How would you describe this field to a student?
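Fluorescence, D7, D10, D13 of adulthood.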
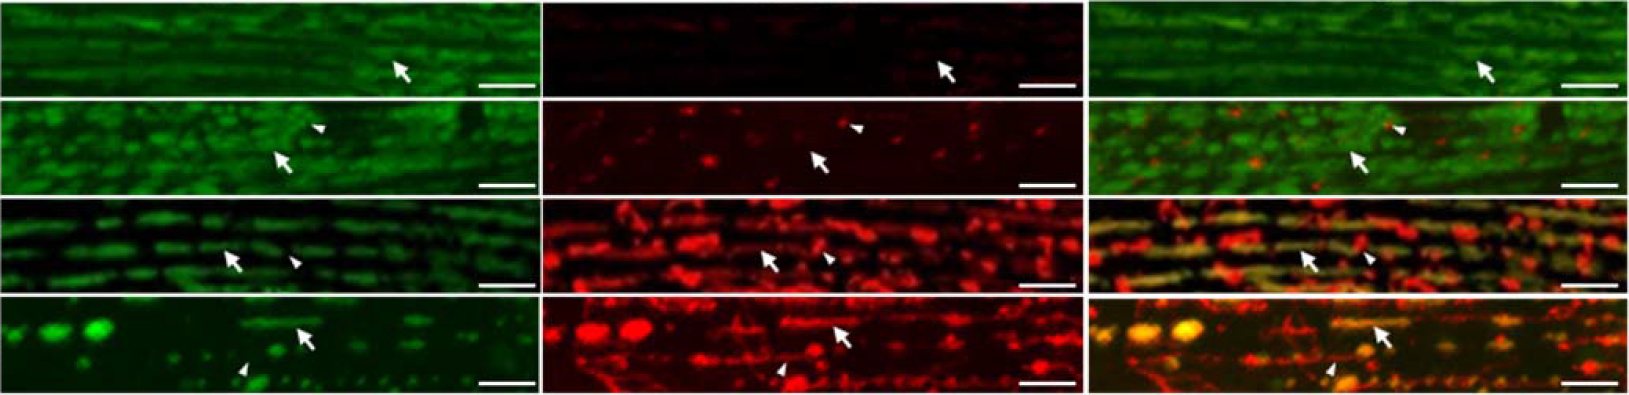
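Strips of muscle cell show green organelles lined up in parallel rows along the length of the cell. In the top row they form long continuous tubes with almost no red. Lower down, the green rows break into shorter rods and then into scattered round dots of uneven size. Red grows step by step: first as a few small points, then as bright blobs and thin red threads, many of which do not overlap green, while some large round bodies appear yellow where both colours coincide.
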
